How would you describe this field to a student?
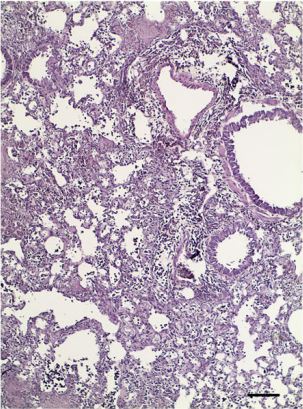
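Lung with airways lined by pink columnar epithelium and vessels, surrounded by patchy consolidation. Between them the alveolar walls are thickened and crowded with dark purple nuclei, many alveolar spaces are collapsed, and dense cell collections surround airways and vessels, while some open air spaces remain at the edges.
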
